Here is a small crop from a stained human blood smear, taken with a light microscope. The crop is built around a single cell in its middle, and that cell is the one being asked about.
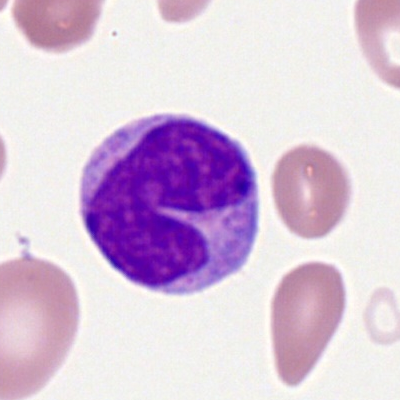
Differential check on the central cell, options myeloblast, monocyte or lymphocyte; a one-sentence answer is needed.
On this slide crop, the central cell is a monocyte.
